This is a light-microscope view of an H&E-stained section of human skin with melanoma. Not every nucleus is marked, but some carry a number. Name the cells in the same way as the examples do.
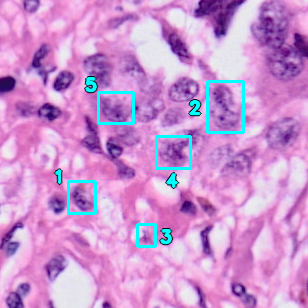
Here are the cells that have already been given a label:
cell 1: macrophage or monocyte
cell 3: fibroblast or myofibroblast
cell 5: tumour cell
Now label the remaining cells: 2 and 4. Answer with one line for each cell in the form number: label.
2: tumour cell
4: tumour cell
